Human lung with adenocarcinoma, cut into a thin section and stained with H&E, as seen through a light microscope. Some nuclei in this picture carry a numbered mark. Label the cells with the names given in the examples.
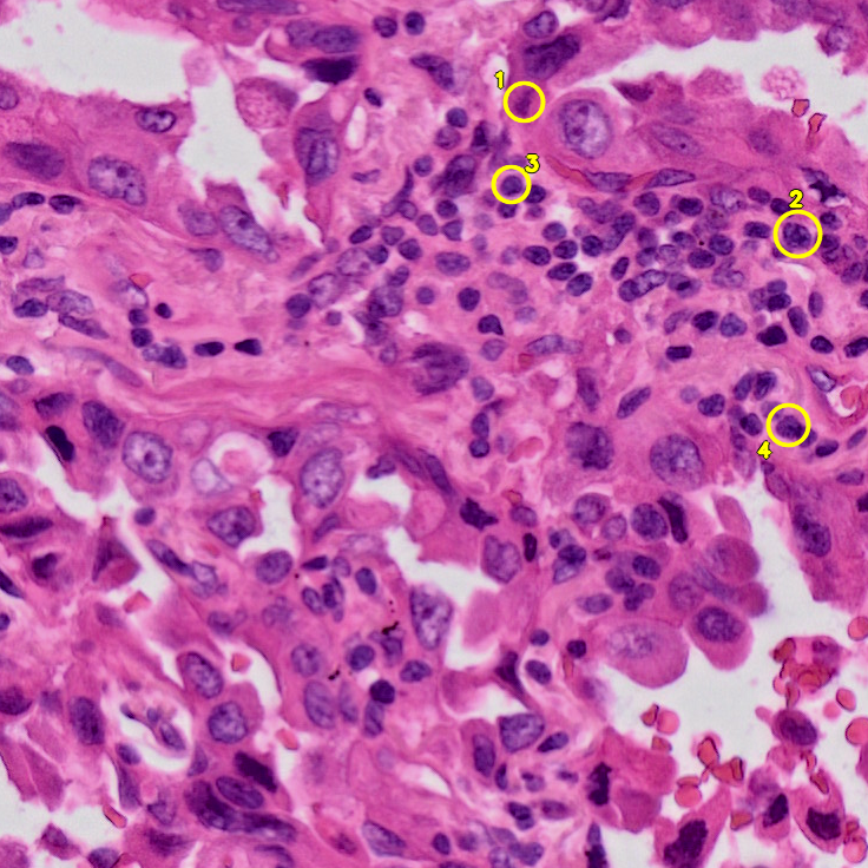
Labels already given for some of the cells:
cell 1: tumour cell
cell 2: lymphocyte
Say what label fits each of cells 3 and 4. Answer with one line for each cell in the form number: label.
3: lymphocyte
4: lymphocyte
